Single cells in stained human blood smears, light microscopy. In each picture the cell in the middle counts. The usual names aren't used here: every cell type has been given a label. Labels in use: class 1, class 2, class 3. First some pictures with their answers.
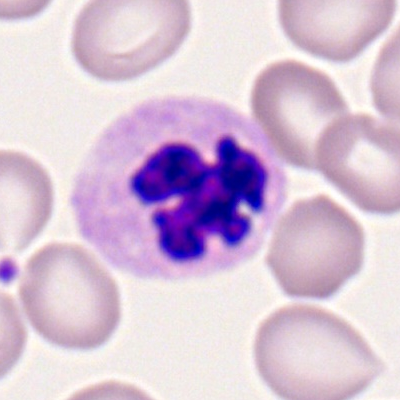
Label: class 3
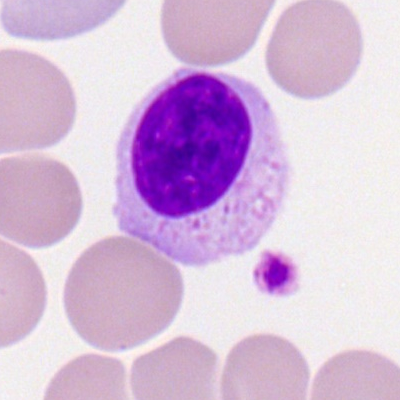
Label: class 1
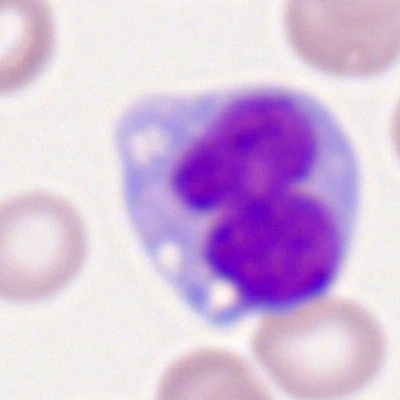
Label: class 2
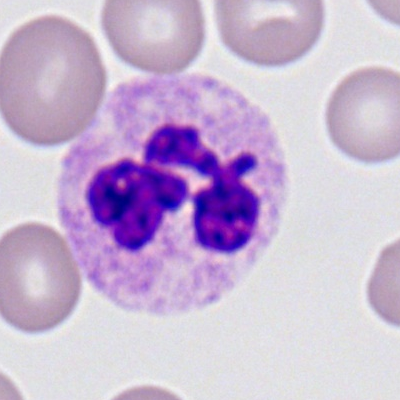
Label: class 3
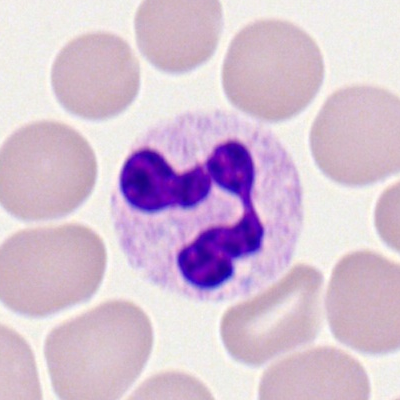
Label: class 3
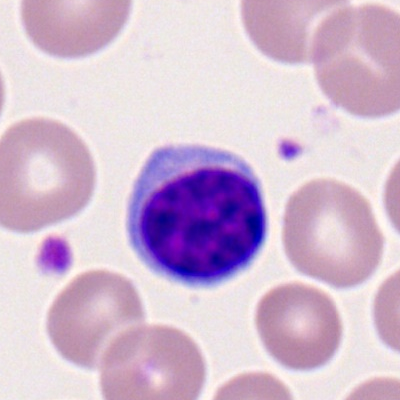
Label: class 1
